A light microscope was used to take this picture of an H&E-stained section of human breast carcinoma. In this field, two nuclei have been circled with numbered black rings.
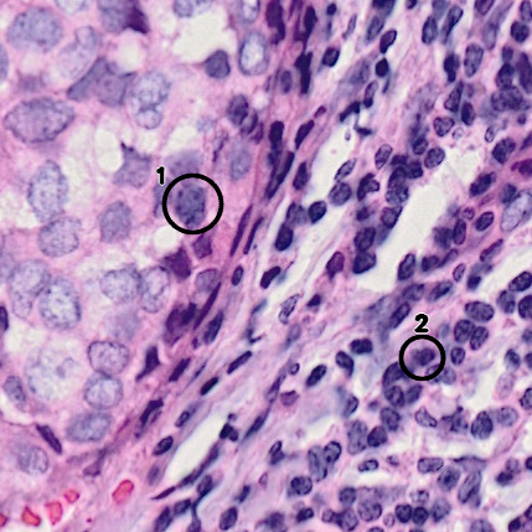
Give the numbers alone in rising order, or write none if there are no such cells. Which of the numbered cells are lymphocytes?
2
